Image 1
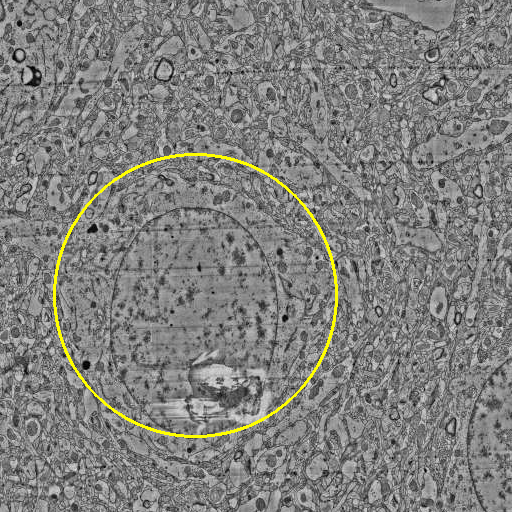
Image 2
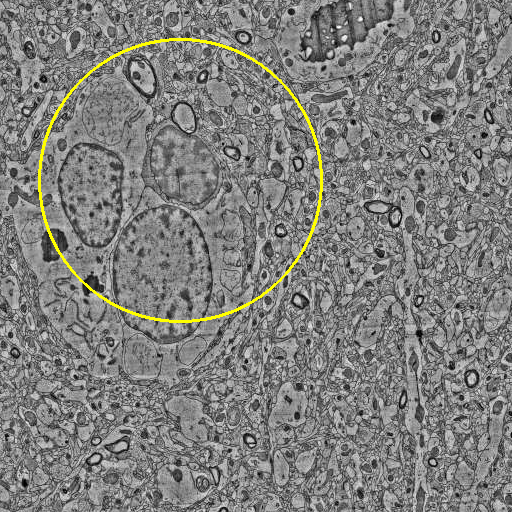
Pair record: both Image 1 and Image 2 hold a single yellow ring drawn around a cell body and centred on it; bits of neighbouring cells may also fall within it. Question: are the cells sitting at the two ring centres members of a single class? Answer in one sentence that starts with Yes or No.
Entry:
No, the ring-centre cells in Image 1 and Image 2 come from two classes.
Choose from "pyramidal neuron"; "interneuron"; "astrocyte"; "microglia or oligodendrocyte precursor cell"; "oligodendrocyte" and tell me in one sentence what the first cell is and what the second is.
What the first ring is centred on is a pyramidal neuron; what the second ring is centred on is an oligodendrocyte.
